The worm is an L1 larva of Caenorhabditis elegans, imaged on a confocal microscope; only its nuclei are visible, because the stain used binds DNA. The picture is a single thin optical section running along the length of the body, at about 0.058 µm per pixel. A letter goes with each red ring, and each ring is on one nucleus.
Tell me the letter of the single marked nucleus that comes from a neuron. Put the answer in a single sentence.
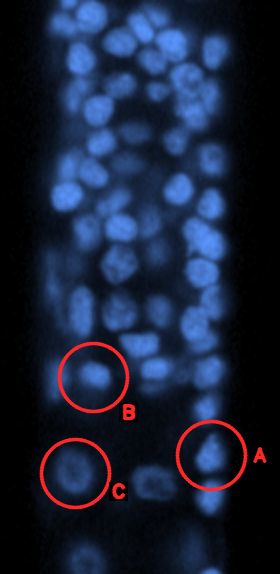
Nucleus A belongs to a neuron.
